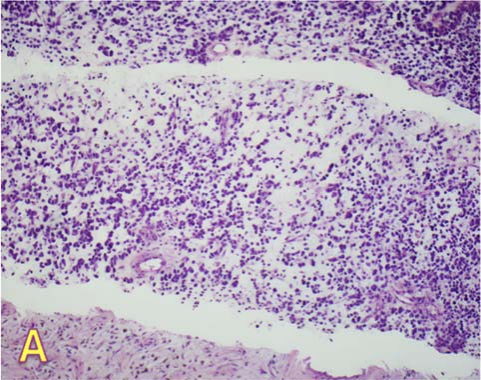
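The small, dark purple nuclei are so many that the tissue looks blue. The cells lie in broad, loose sheets, with pale spaces between them in places. They do not form glands or other organised structures. Small blood vessels are scattered through the sheets. Long, empty, white clefts cross the tissue; these are probably splits made when the section was cut. Along the lower edge lies a band of pink fibrous tissue with fewer, elongated nuclei.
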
